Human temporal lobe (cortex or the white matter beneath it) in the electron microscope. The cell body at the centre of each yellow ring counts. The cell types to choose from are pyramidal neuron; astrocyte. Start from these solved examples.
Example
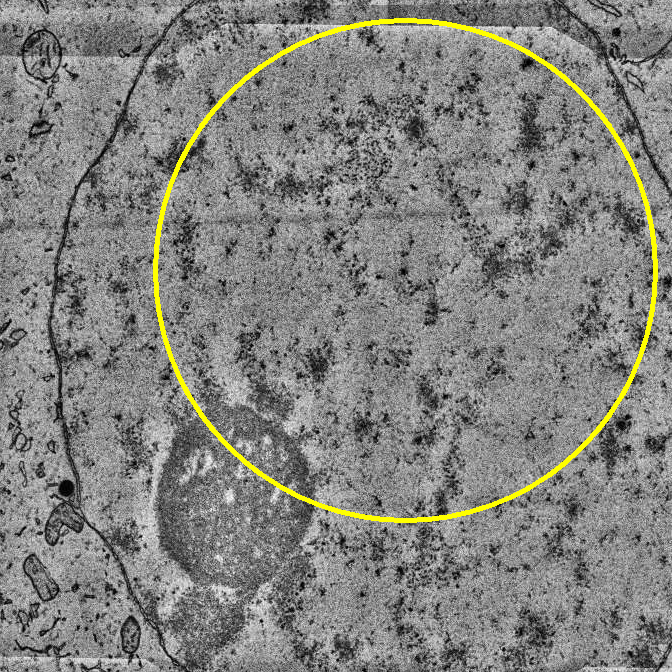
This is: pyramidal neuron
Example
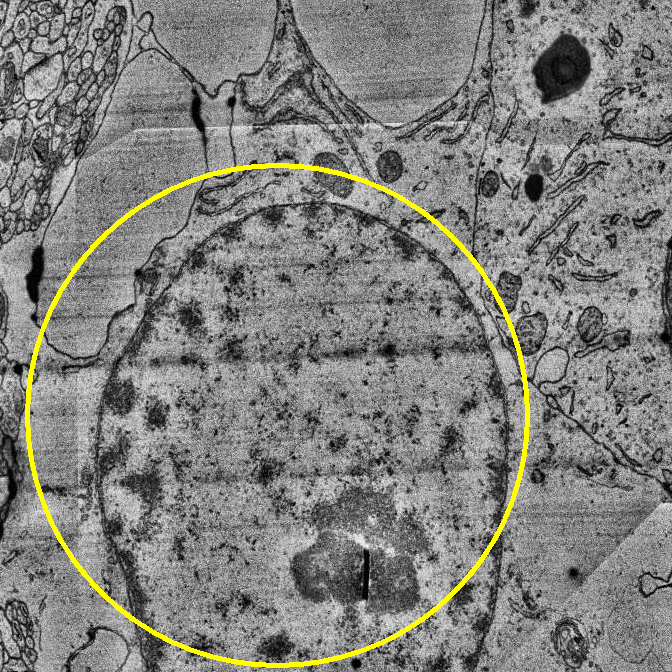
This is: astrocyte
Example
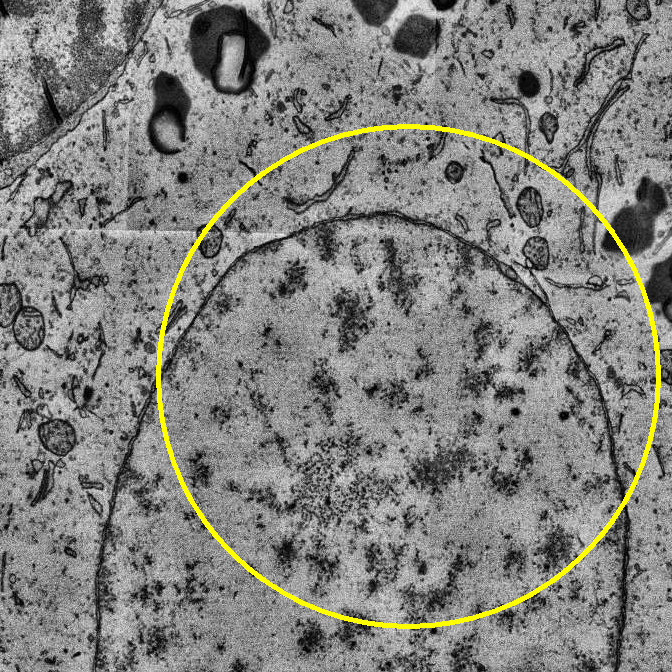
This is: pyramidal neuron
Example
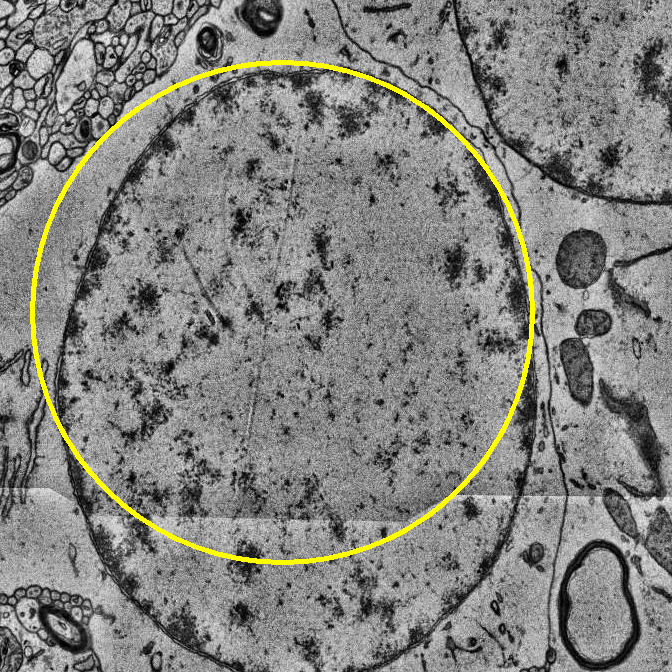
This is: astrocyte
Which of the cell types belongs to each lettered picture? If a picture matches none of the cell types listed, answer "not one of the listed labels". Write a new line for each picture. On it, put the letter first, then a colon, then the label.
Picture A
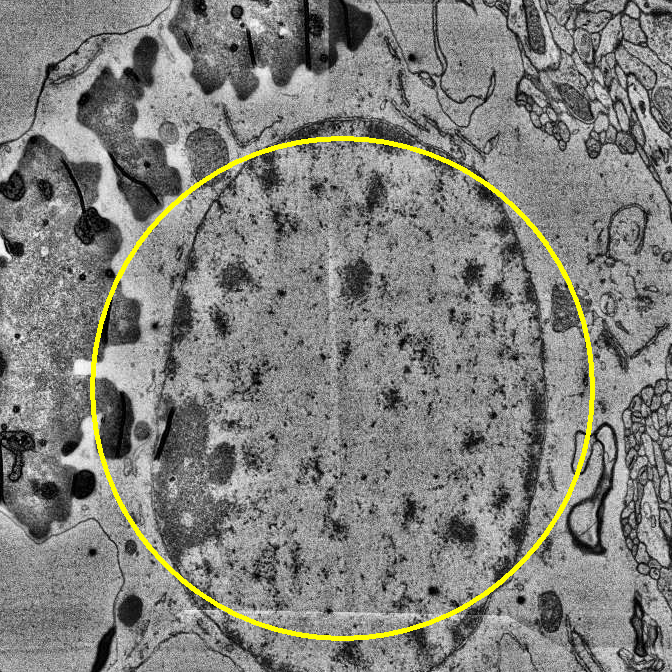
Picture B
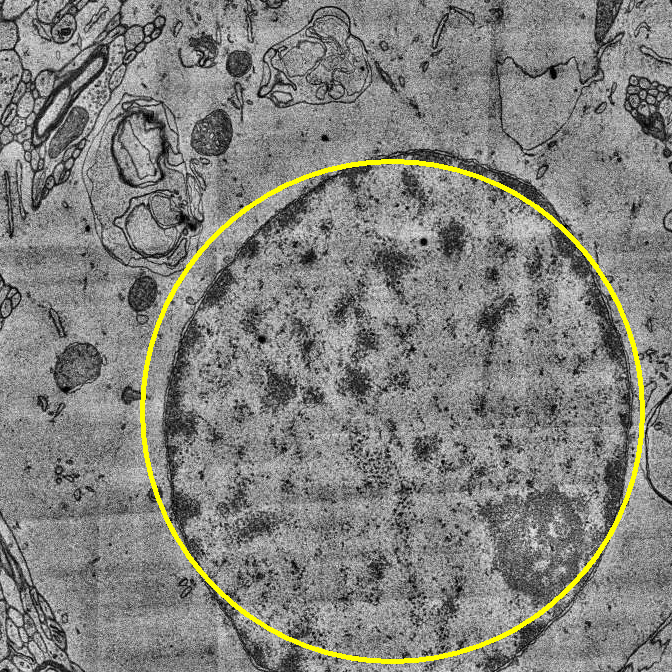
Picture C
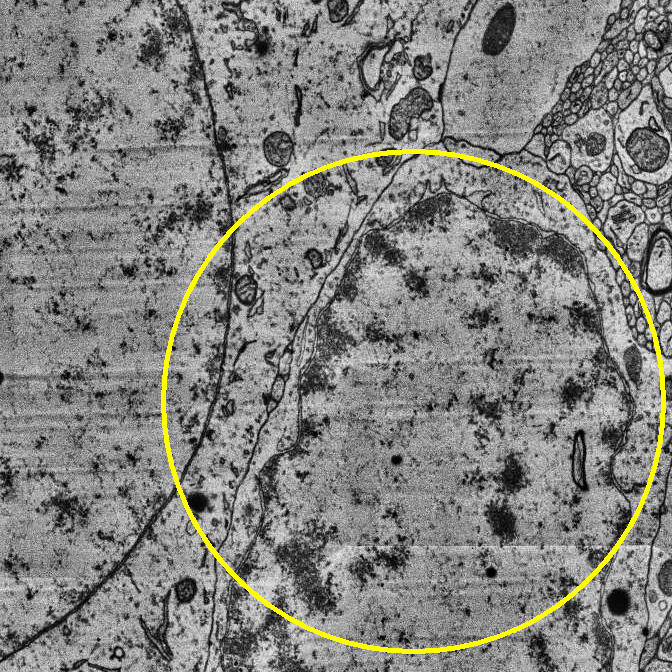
A: astrocyte
B: astrocyte
C: not one of the listed labels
